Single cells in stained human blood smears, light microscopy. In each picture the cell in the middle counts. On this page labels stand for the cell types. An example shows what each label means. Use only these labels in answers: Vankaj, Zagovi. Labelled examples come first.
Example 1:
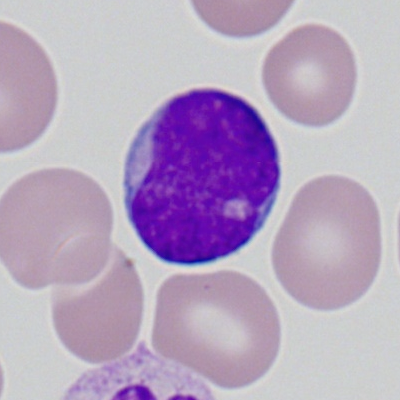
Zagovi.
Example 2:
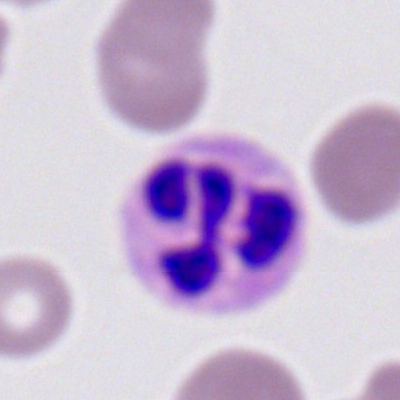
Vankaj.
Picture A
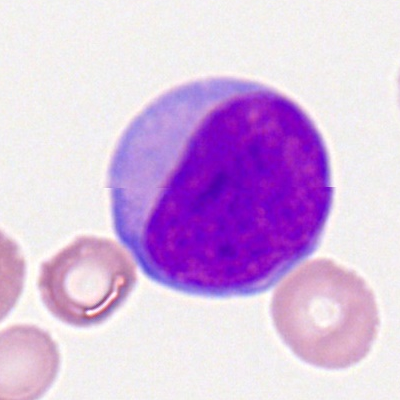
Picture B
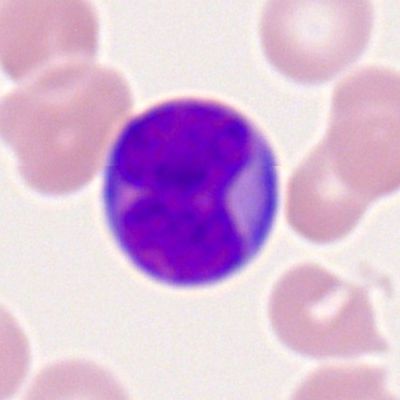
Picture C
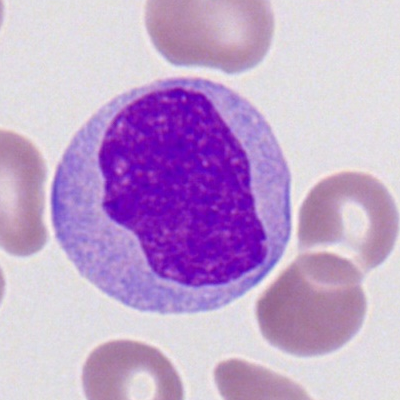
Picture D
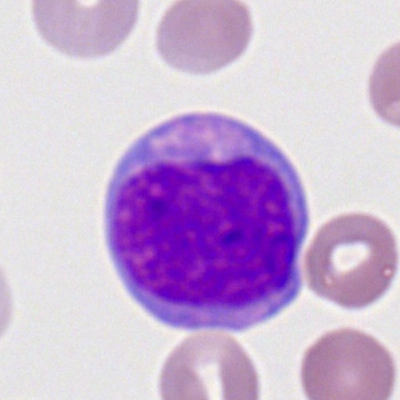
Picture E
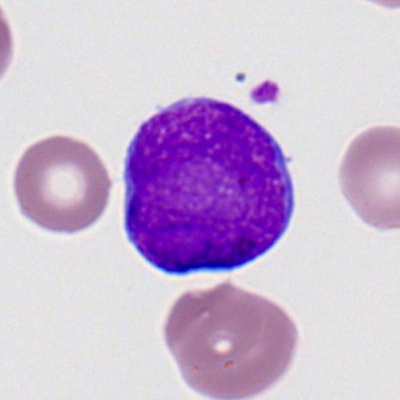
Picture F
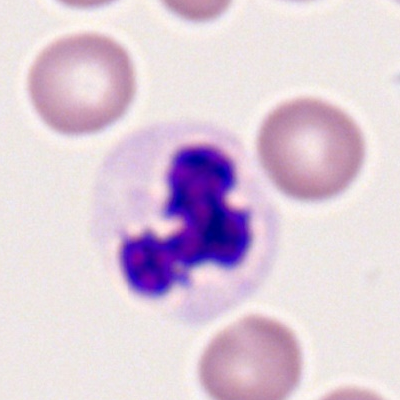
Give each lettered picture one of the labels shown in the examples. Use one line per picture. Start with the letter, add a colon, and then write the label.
A: Zagovi.
B: Zagovi.
C: Zagovi.
D: Zagovi.
E: Zagovi.
F: Vankaj.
